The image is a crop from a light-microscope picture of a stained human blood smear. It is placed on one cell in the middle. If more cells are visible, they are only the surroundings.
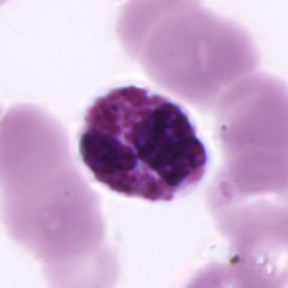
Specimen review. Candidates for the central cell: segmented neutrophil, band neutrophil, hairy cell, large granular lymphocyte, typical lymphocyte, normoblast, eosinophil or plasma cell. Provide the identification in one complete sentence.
The centrally placed cell is classified as an eosinophil.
